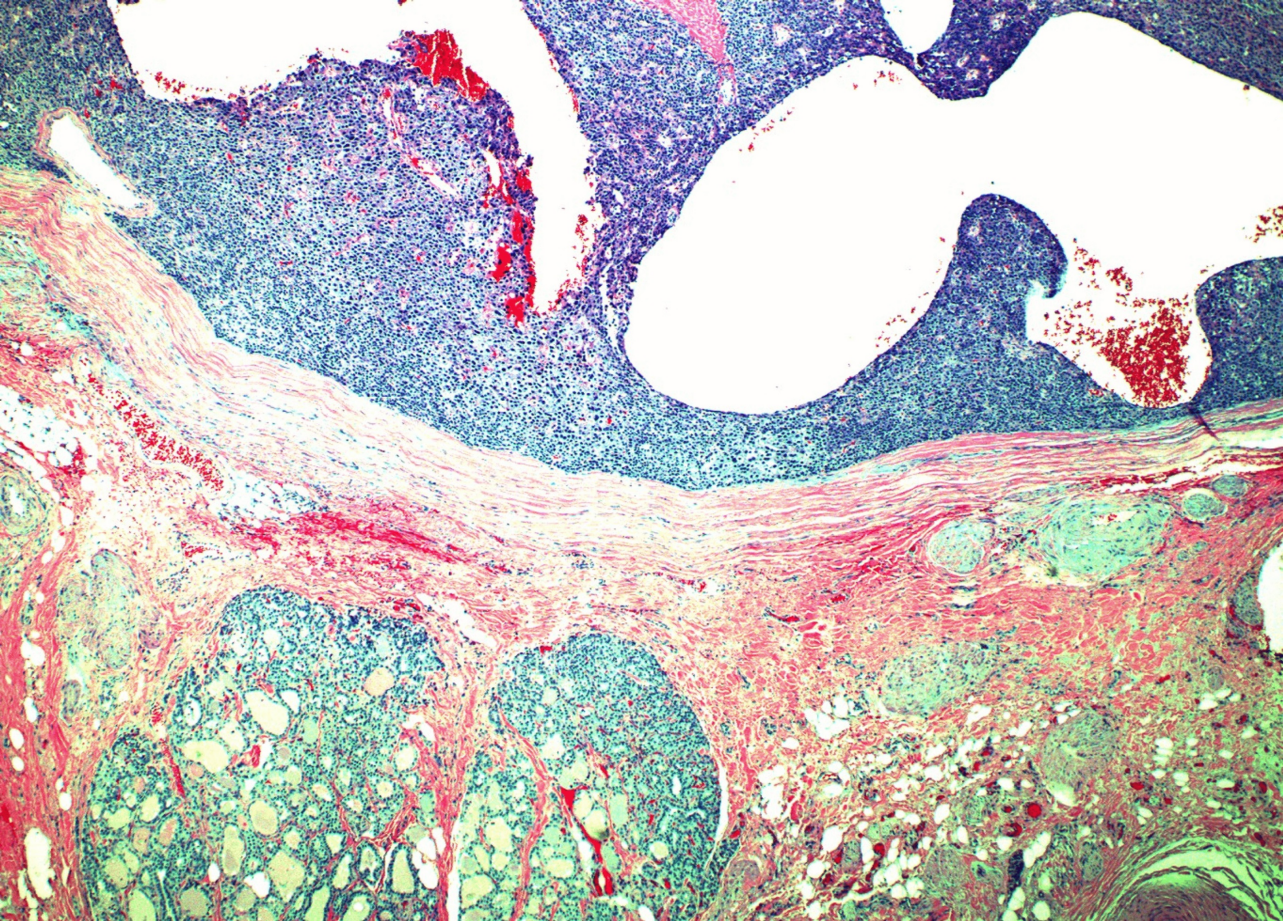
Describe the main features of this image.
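The upper part shows a parathyroid tumor: a solid, densely cellular sheet of small cells with round, dark nuclei, traversed by large, dilated, thin-walled vascular spaces that hold red blood cells. A thick fibrous capsule of wavy, pink-red collagen bundles runs across the middle and separates the tumor from the tissue below. The lower part is thyroid gland, with lobules of round follicles of varying size that are lined by flat to cuboidal cells and filled with pale colloid. Fibrous septa, small vessels and scattered fat cells lie between the thyroid lobules.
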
